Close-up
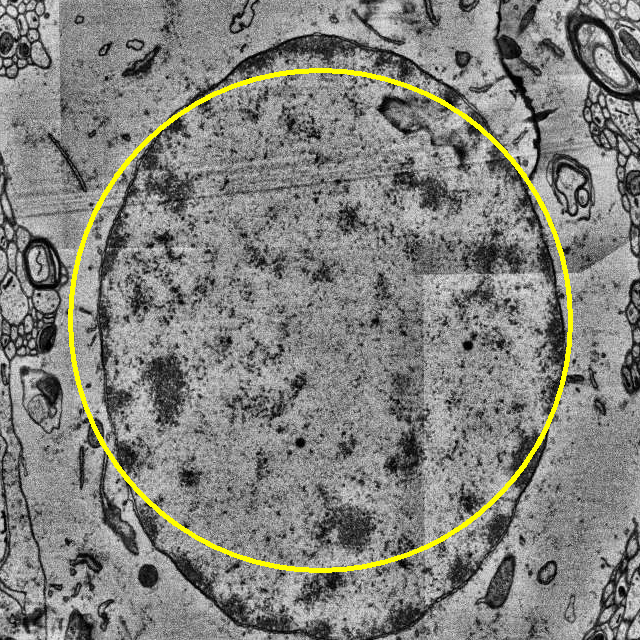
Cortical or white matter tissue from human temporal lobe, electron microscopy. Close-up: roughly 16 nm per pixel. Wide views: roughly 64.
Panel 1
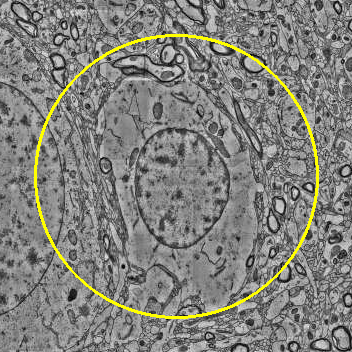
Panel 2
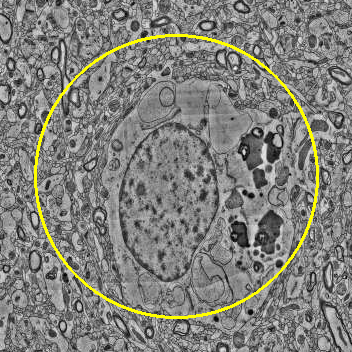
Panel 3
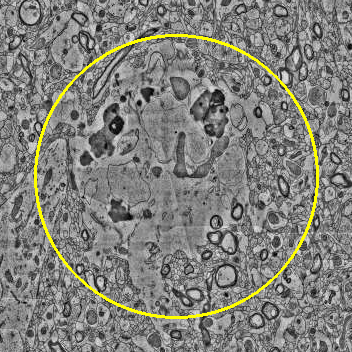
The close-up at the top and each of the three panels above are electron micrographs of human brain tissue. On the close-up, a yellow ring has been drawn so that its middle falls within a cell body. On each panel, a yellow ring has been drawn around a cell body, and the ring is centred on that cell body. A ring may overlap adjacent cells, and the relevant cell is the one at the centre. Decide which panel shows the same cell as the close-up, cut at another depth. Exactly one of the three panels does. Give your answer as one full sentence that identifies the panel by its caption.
The cell pictured in the close-up is ringed in Panel 1.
